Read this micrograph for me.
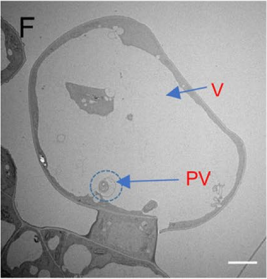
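A mature salt bladder appears as a very large rounded cell resting on a narrow stalk above the epidermis. Almost the whole cell is taken up by one vast, pale vacuole. The cytoplasm is reduced to a thin rim along the wall, with a few small patches of material inside the vacuole. A small circled round body lies near the base of the vacuole.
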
